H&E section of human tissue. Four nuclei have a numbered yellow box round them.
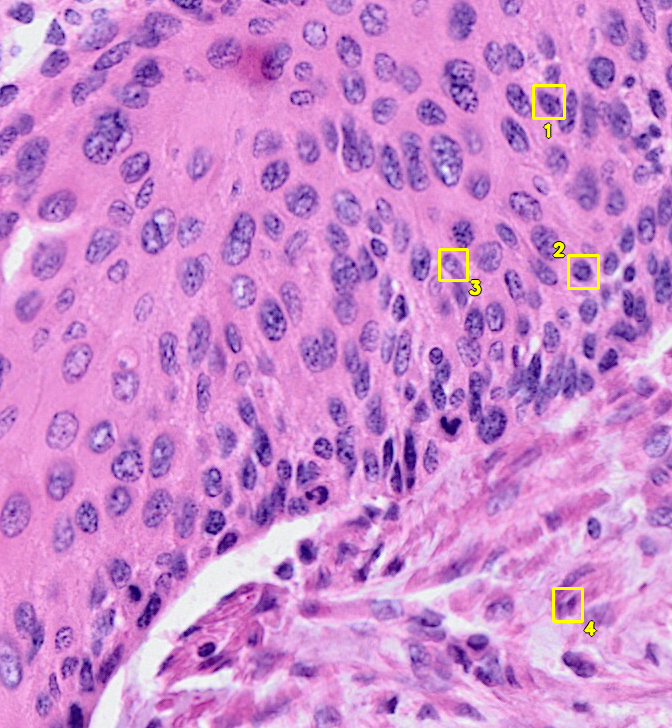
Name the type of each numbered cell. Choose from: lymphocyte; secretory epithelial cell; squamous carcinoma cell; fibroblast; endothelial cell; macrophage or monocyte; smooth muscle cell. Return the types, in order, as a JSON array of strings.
["squamous carcinoma cell", "squamous carcinoma cell", "squamous carcinoma cell", "fibroblast"]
